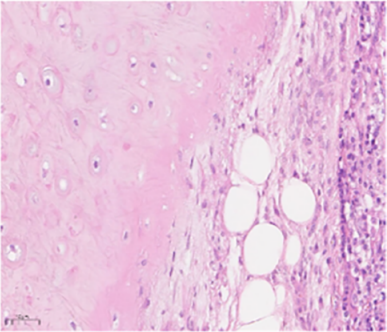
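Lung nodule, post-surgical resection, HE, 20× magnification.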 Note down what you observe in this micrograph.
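On the left is a firm pink matrix. Rounded cells with small dark nuclei sit in it, singly or in pairs, each inside its own clear space, as cartilage cells do. In the middle is a cluster of large, round, empty-looking spaces with thin walls, the look of fat cells whose fat was lost during processing. To the right, wavy pink fibres with spindle-shaped cells give way to a crowded band of small, dark, round nuclei, loose connective tissue with many small cells.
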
